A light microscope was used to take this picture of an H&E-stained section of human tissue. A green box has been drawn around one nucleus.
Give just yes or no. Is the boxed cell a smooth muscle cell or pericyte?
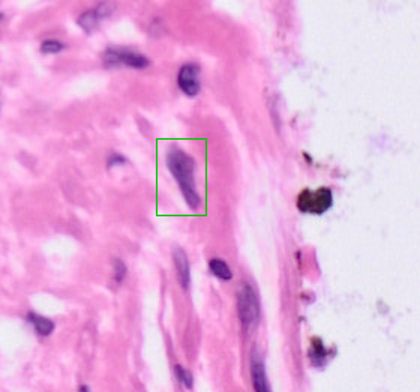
no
